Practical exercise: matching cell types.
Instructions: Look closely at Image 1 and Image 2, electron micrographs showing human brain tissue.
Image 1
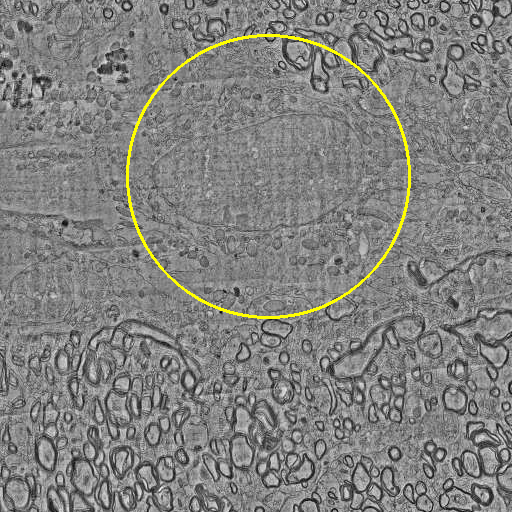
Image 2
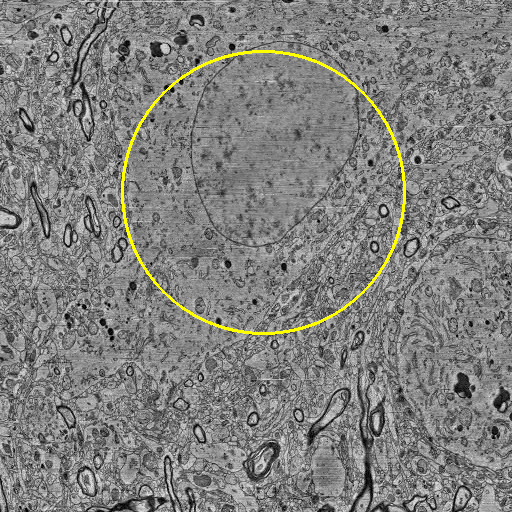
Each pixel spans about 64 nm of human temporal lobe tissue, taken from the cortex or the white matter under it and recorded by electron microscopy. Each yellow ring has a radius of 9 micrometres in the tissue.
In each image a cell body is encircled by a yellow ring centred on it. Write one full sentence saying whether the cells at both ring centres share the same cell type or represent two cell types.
Across Image 1 and Image 2, the cells at the ring centres represent two cell types.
